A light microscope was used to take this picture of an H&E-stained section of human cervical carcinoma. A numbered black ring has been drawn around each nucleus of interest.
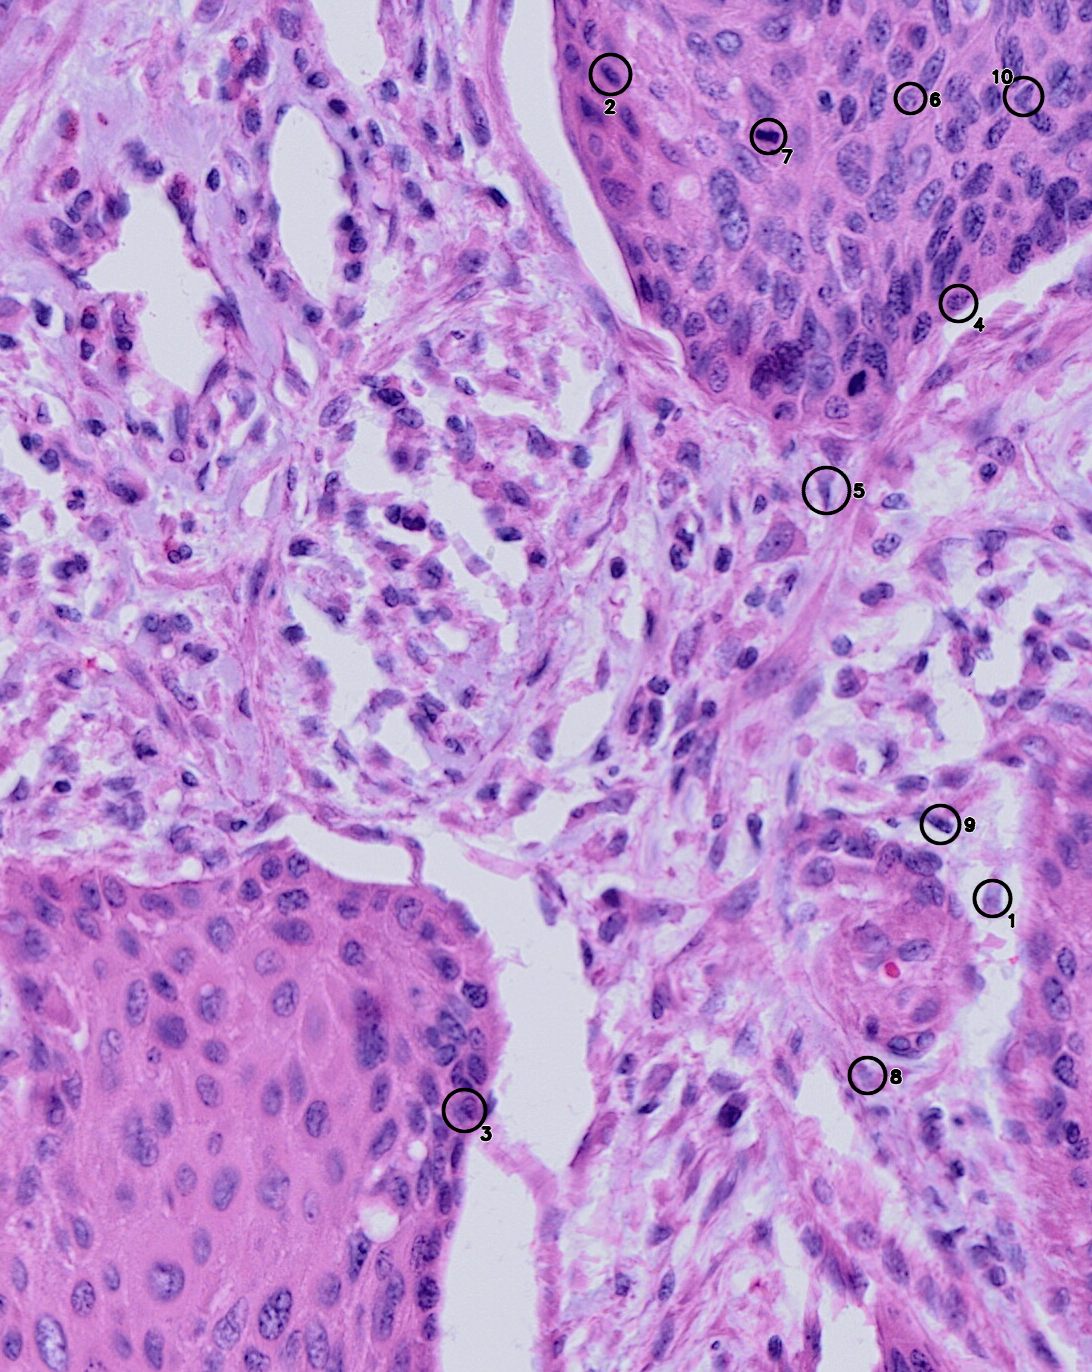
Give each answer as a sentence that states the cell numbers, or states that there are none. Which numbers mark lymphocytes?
Only the cell with the number 9 is a lymphocyte.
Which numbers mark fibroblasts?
Into the category of fibroblasts fall the cells numbered 1, 5 and 8.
